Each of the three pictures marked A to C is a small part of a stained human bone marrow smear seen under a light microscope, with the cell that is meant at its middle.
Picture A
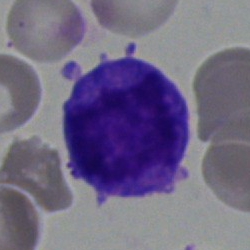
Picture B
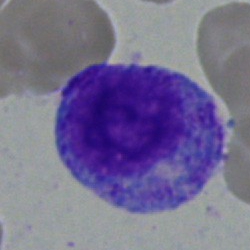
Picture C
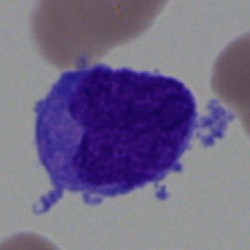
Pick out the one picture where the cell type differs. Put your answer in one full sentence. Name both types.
Picture C is the odd one out: it shows a blast, while the others show promyelocytes.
